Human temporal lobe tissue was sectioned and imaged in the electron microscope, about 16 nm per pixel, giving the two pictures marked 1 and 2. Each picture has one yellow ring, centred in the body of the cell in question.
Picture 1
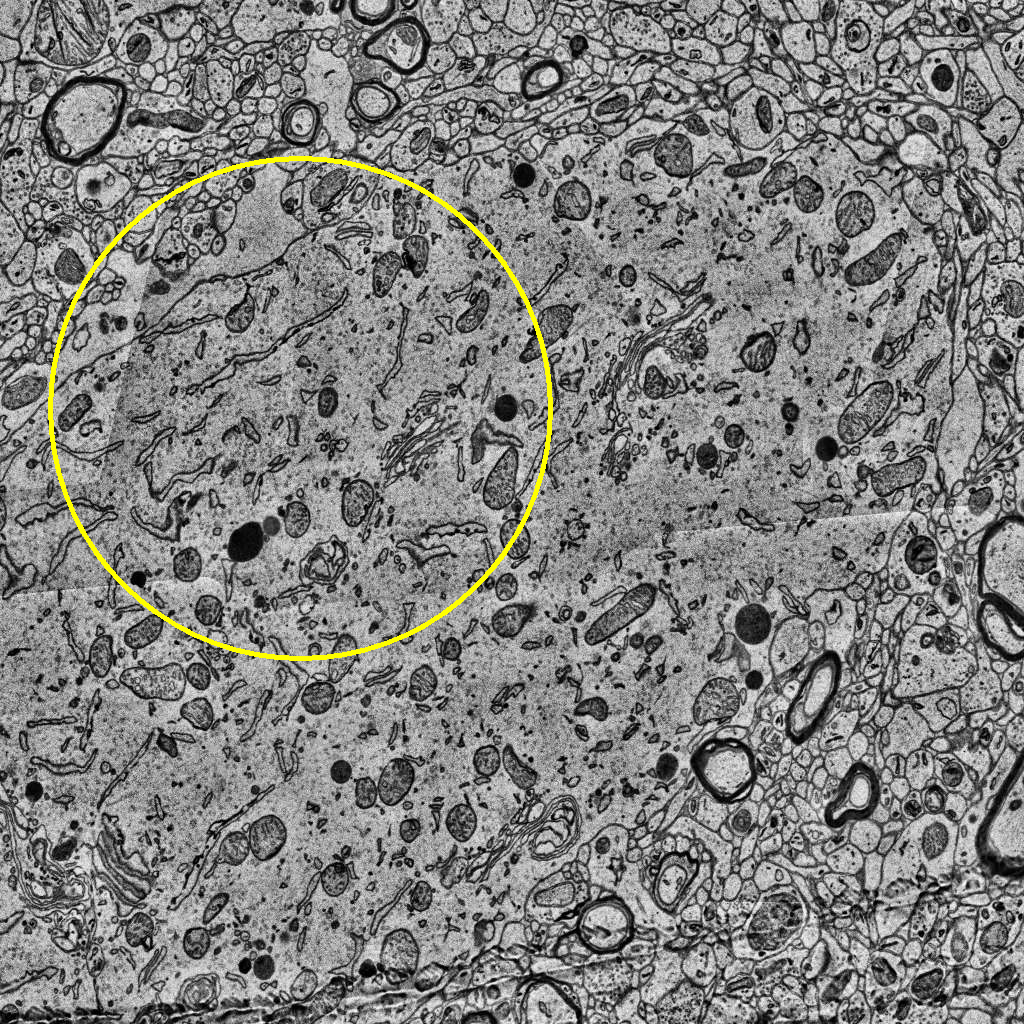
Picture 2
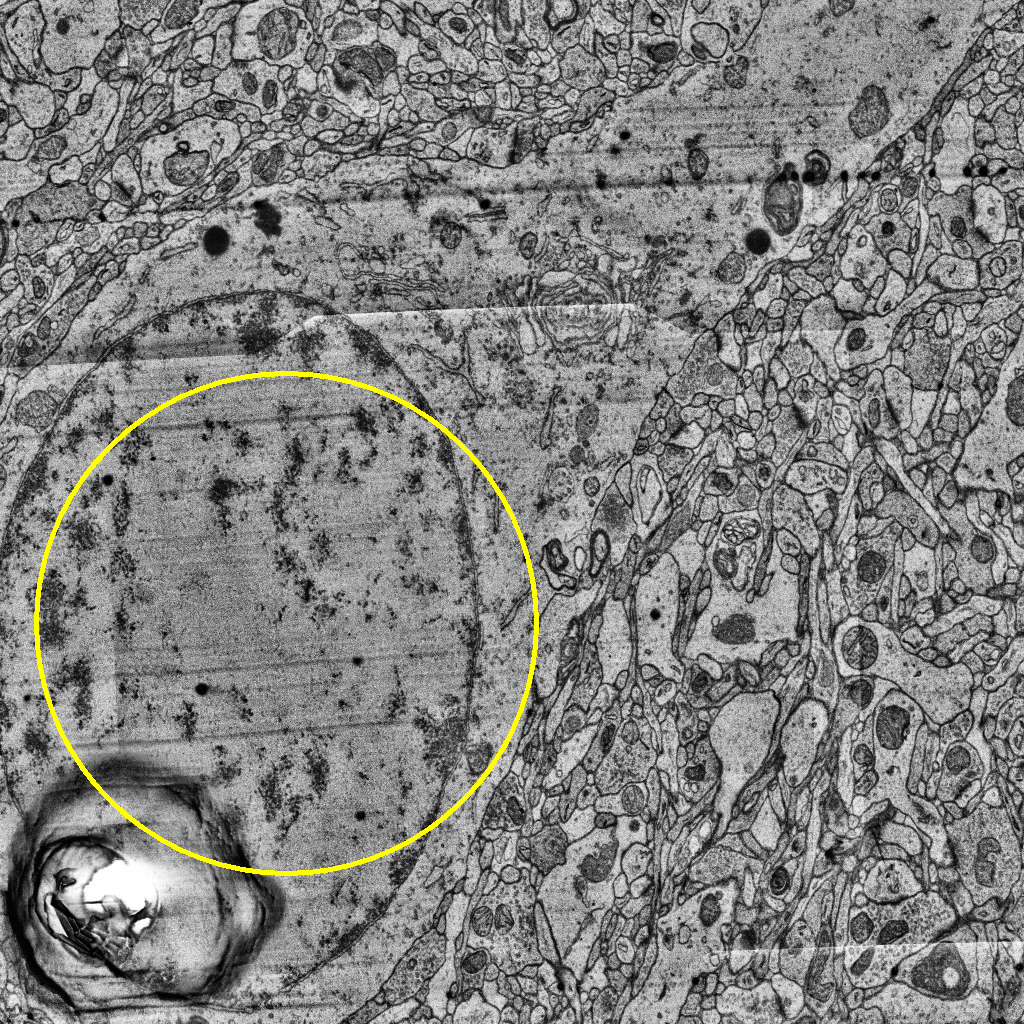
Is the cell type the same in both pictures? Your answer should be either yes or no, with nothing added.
yes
